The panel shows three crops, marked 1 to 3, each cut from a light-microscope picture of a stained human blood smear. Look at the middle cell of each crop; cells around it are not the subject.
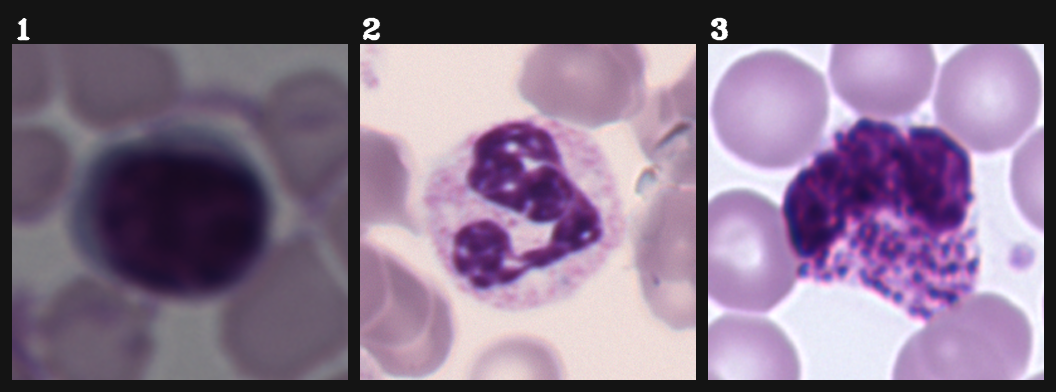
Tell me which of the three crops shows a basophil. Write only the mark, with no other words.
3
